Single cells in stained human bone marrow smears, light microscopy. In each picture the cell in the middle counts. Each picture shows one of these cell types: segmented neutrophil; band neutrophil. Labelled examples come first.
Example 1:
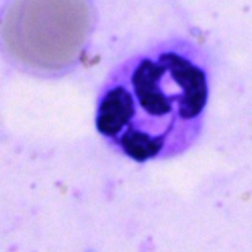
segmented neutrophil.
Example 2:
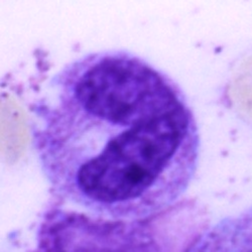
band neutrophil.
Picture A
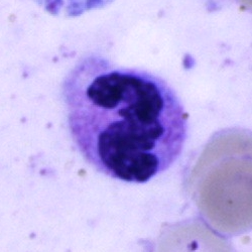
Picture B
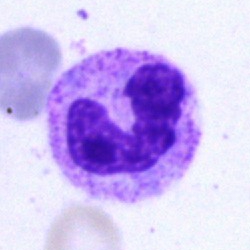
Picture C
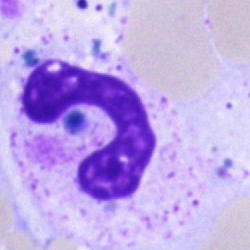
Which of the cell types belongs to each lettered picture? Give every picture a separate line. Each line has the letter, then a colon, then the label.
A: segmented neutrophil.
B: band neutrophil.
C: band neutrophil.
